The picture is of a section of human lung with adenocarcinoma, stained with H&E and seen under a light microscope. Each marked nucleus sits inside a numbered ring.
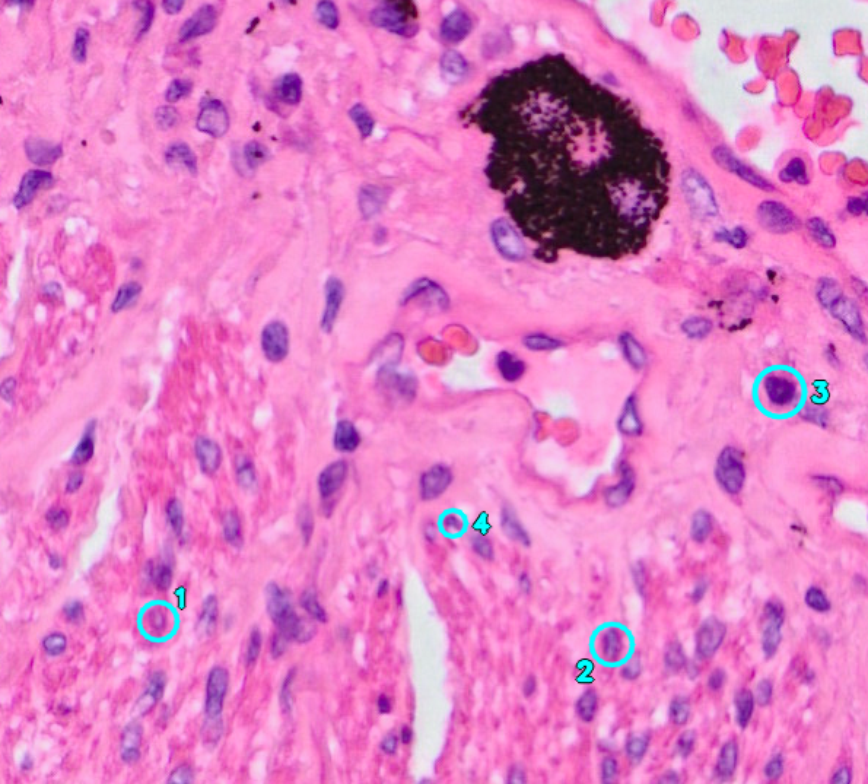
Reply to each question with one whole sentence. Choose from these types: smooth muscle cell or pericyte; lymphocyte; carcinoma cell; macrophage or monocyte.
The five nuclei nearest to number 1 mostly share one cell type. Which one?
Most of the five nuclei nearest to number 1 are those of smooth muscle cells or pericytes.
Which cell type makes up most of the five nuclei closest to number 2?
Most of the five nuclei nearest to number 2 are those of smooth muscle cells or pericytes.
